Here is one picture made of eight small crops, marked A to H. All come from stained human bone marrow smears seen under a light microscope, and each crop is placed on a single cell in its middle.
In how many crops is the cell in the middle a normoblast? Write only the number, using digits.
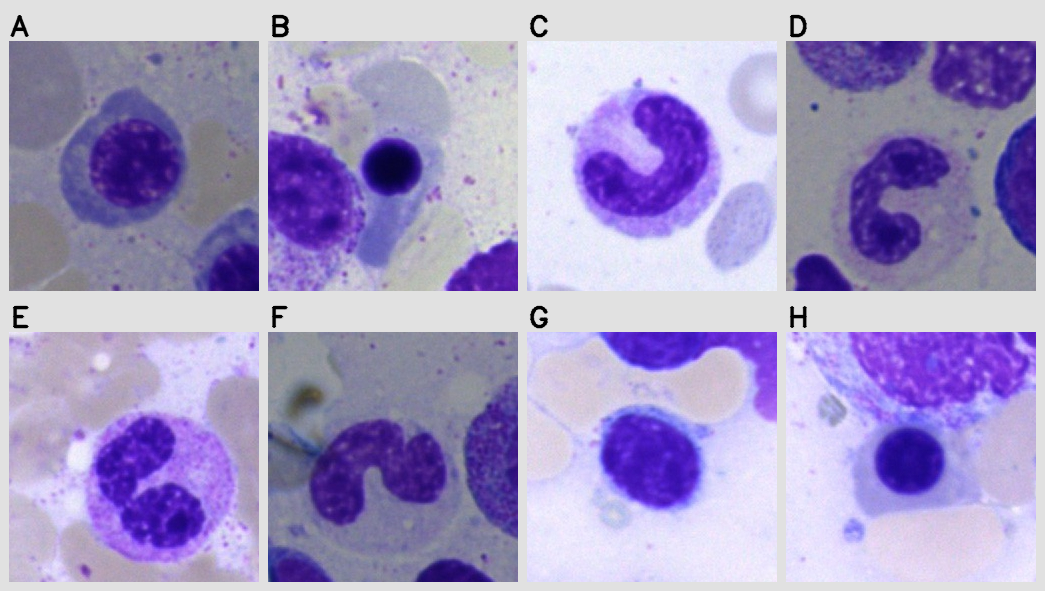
3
